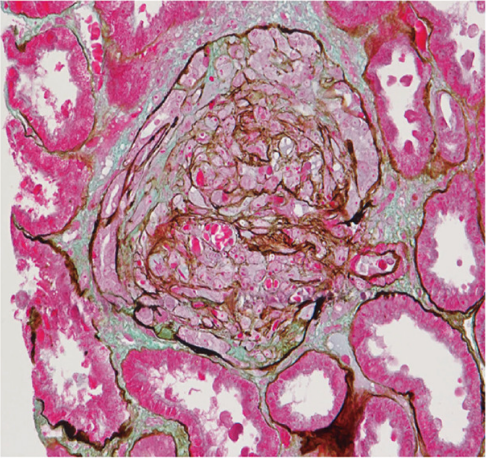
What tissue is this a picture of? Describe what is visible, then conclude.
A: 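A rounded tuft of looped capillaries sits in the centre inside a capsule. The tuft is surrounded by cross-sections of tubules with pink-red epithelium and open lumens. That points to this answer: glomerulus.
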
